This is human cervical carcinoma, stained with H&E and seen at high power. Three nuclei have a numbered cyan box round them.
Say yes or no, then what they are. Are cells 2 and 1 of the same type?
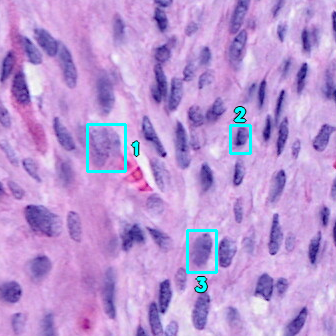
No, cell 2 is typed as a fibroblast, and cell 1 is typed as an endothelial cell.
